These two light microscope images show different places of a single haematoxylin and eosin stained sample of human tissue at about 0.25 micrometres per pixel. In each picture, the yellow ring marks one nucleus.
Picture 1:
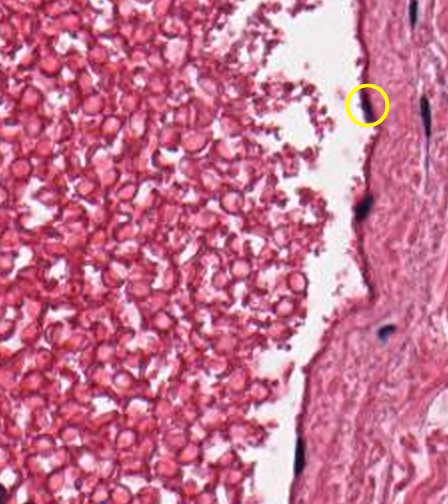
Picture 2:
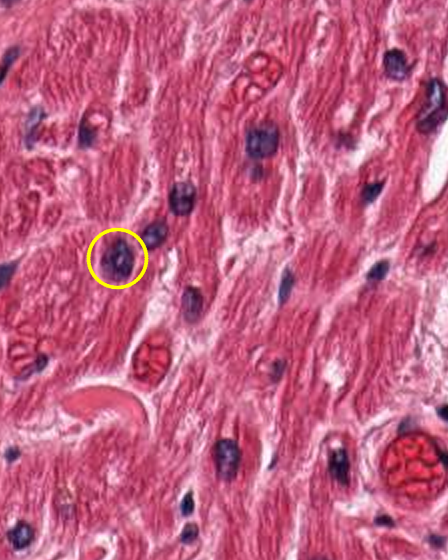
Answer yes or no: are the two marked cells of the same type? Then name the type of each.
No, the first is an endothelial cell and the second a cardiomyocyte.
